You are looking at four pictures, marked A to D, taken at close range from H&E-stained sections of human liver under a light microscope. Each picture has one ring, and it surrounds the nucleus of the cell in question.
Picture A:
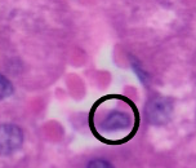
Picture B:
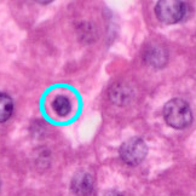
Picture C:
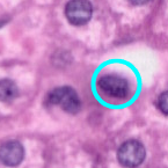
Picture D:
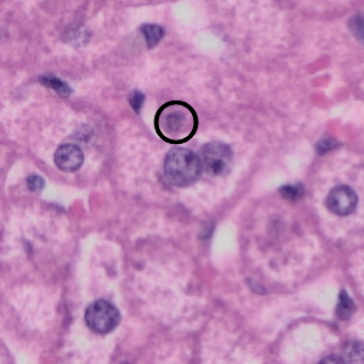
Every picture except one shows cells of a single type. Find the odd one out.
B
